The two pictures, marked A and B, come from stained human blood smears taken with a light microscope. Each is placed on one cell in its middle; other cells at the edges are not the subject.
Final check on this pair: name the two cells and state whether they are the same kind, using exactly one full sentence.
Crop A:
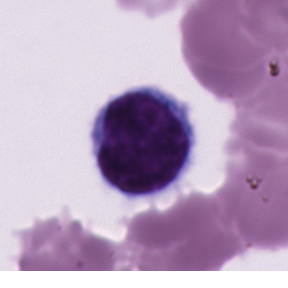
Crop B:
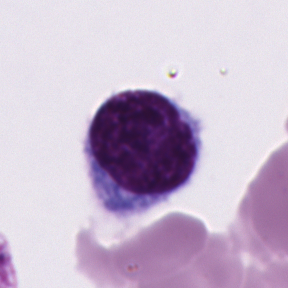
Yes, the two crops both show hairy cells.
